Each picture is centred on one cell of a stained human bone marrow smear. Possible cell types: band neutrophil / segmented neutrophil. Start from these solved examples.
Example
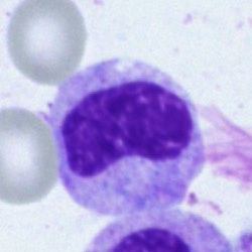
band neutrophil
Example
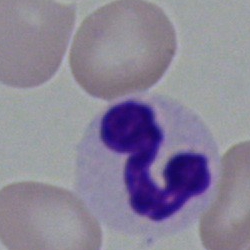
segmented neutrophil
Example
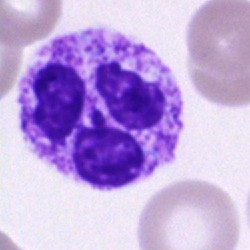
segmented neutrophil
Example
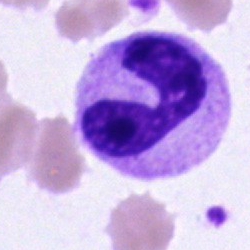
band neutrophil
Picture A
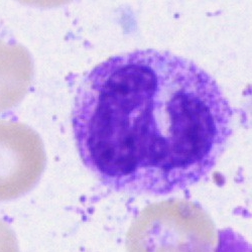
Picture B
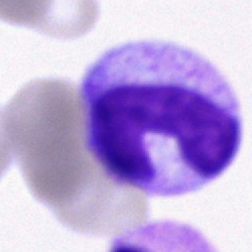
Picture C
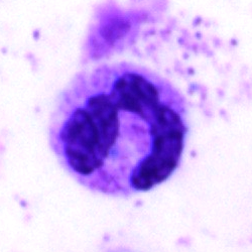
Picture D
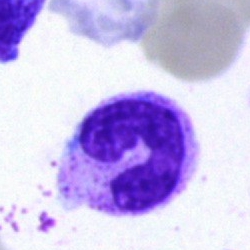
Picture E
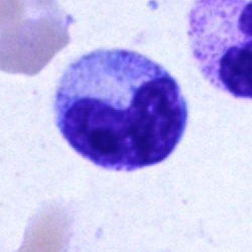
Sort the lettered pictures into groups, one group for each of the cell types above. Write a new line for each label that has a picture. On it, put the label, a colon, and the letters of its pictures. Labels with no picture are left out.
band neutrophil: B, D, E
segmented neutrophil: A, C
